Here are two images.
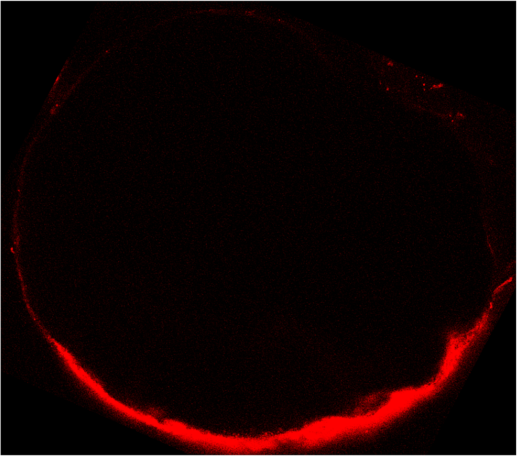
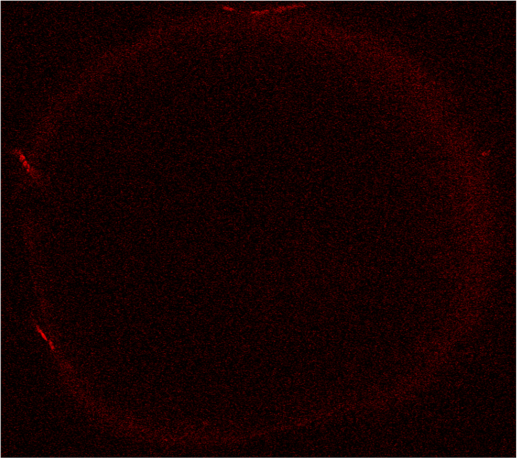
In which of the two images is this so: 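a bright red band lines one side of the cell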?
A: the first image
